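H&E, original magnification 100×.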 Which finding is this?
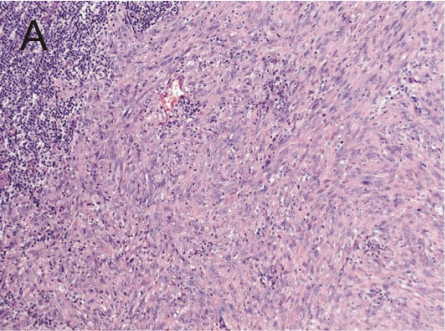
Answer: Spindle cell proliferation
